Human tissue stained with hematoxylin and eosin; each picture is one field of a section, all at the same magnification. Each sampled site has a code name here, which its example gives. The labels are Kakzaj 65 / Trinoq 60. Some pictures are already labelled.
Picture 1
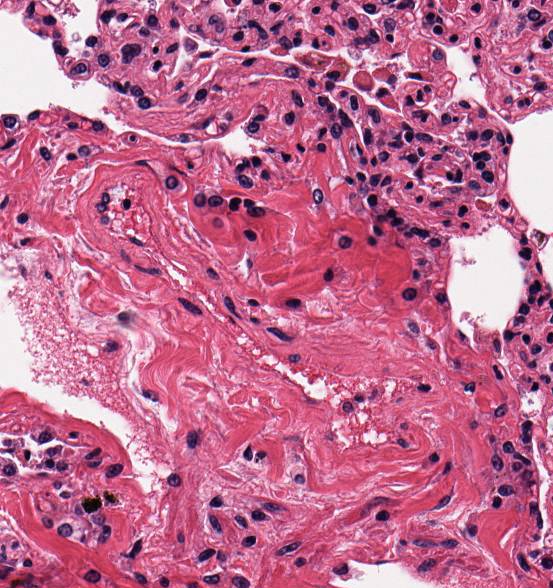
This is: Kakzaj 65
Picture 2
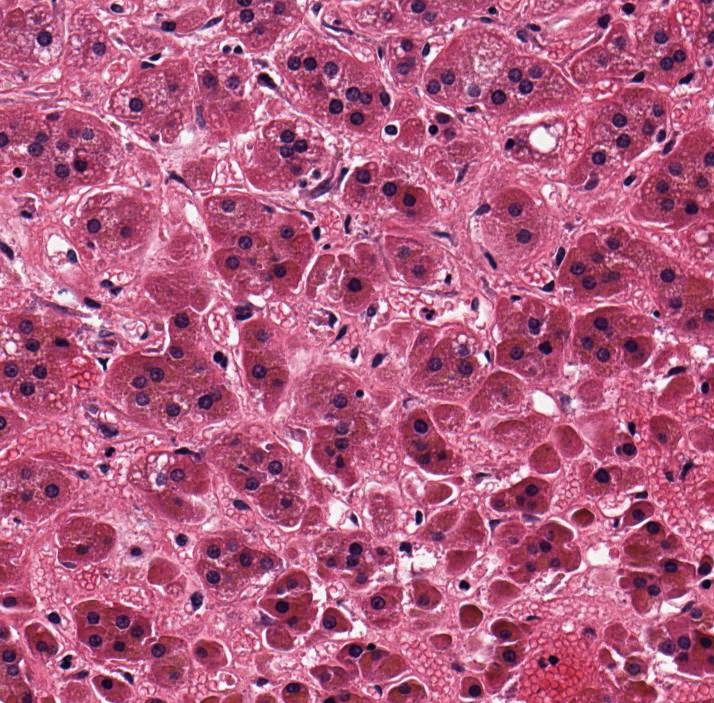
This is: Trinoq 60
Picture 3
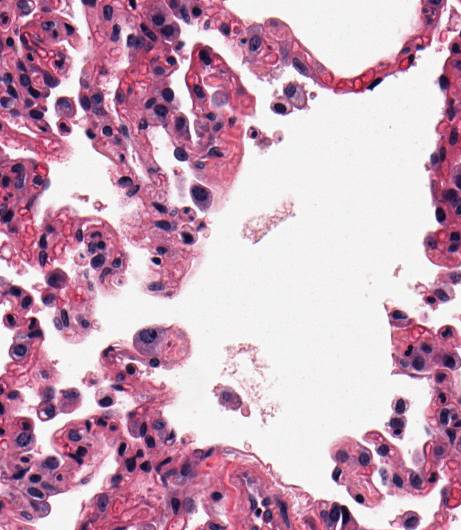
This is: Kakzaj 65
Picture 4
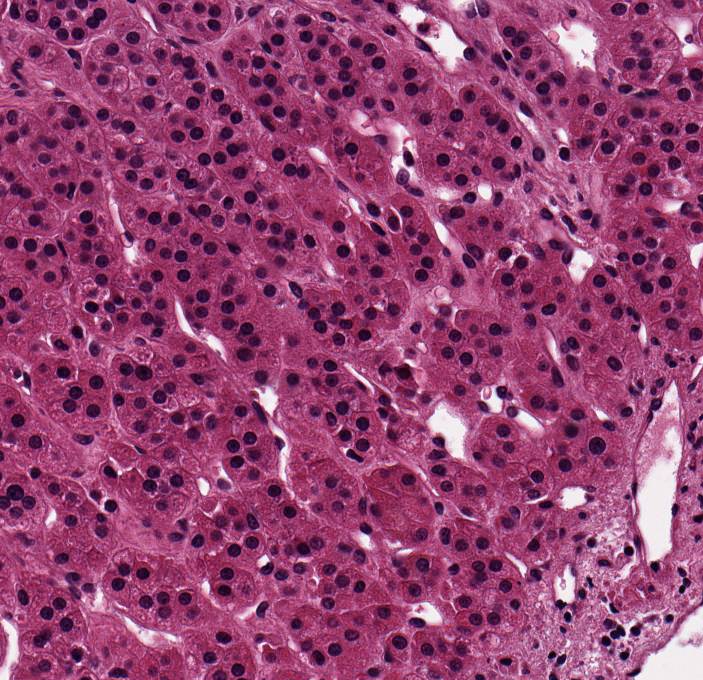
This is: Trinoq 60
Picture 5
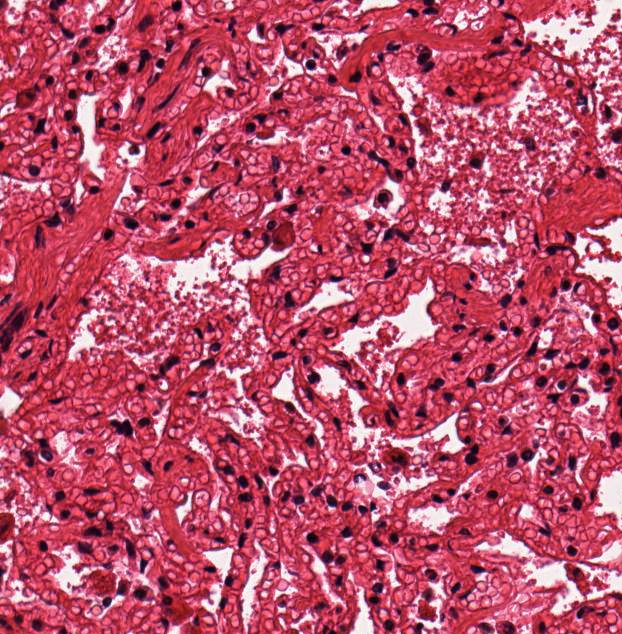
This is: Kakzaj 65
